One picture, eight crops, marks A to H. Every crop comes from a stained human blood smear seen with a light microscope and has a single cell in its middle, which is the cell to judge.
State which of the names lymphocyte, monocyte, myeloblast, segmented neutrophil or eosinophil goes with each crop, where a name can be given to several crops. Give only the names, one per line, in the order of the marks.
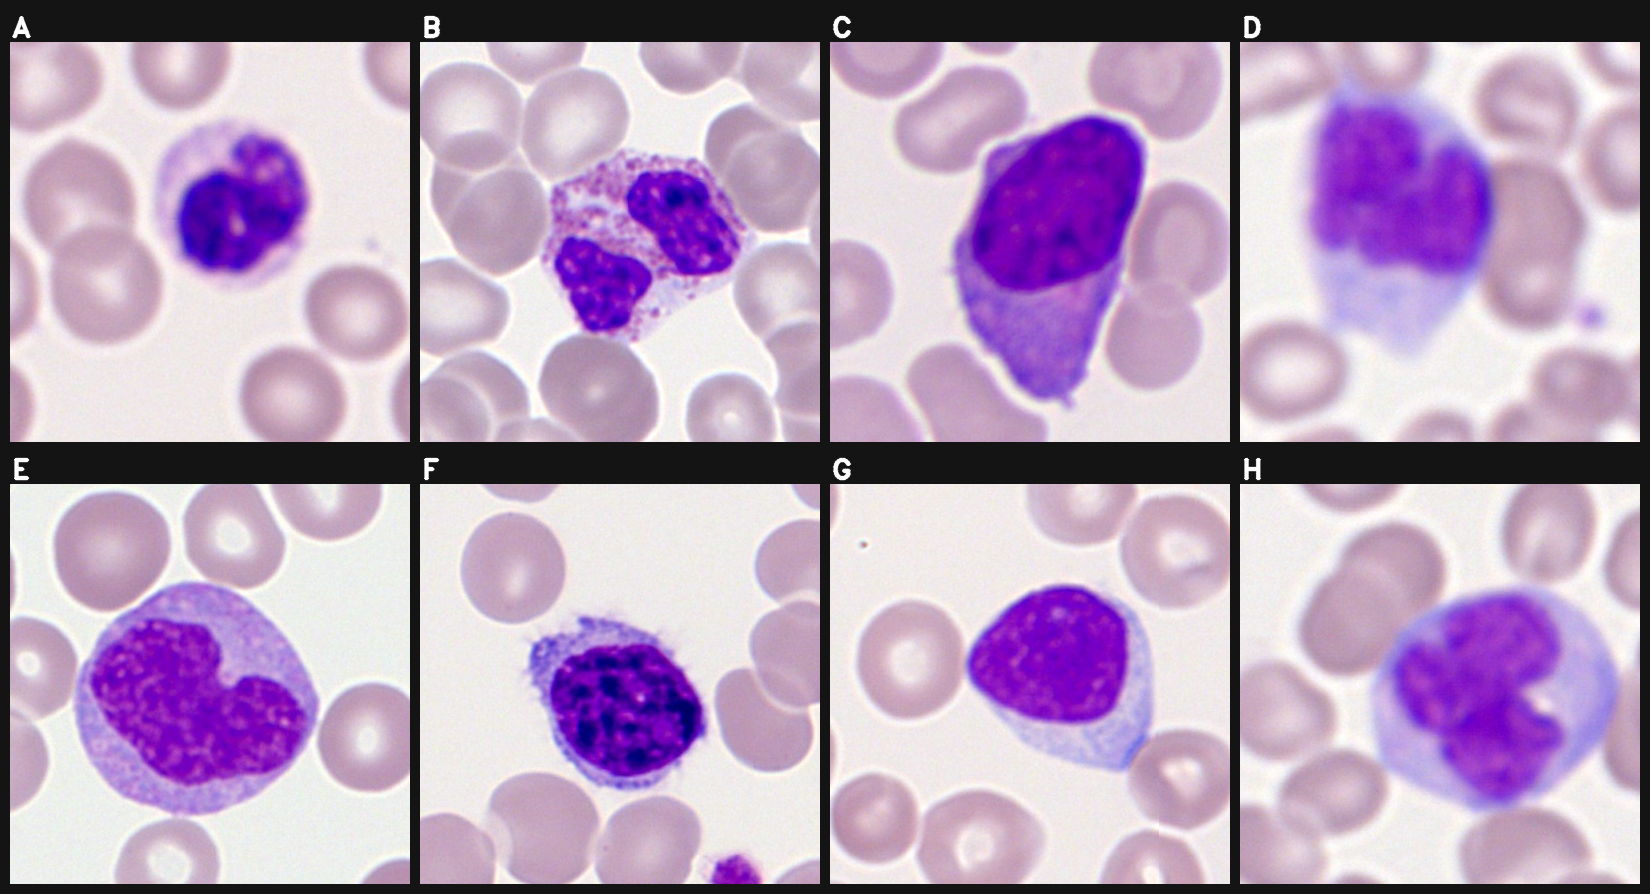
segmented neutrophil
eosinophil
myeloblast
monocyte
monocyte
lymphocyte
lymphocyte
monocyte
